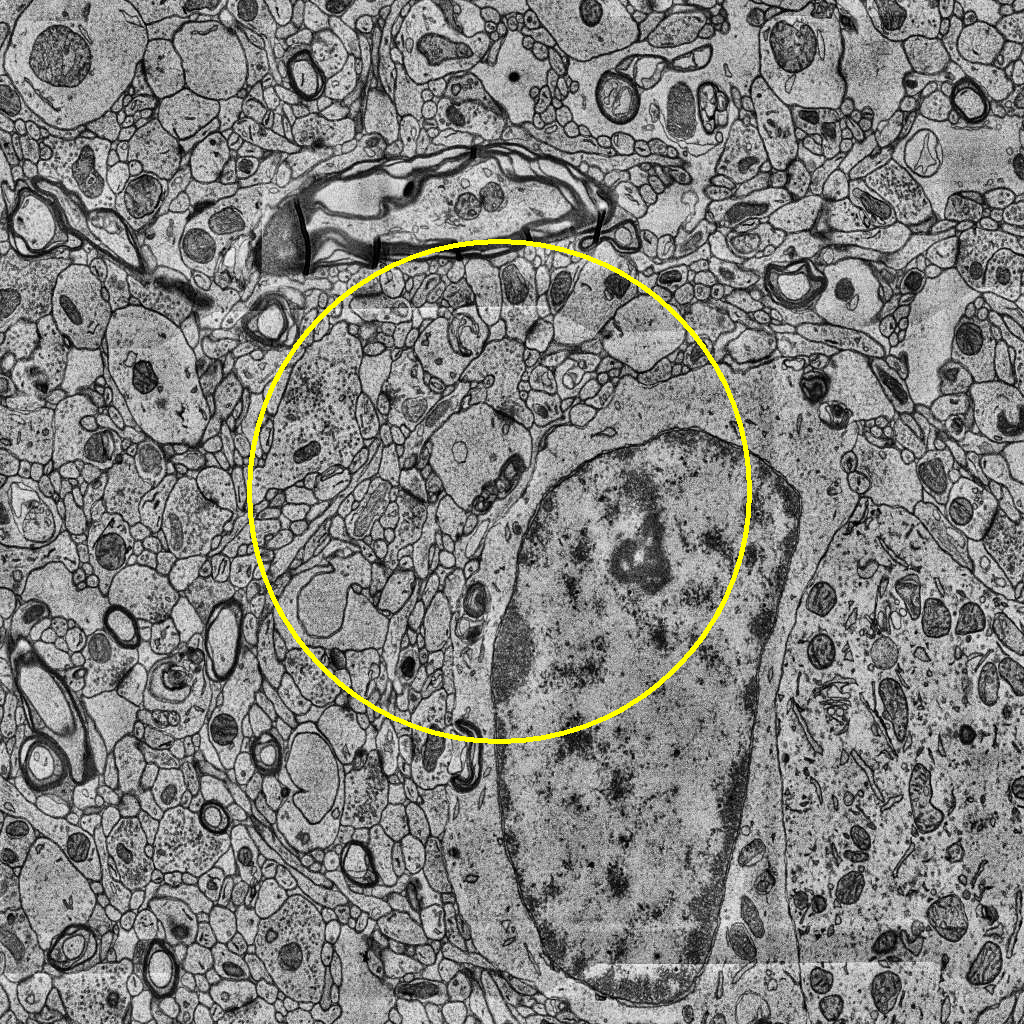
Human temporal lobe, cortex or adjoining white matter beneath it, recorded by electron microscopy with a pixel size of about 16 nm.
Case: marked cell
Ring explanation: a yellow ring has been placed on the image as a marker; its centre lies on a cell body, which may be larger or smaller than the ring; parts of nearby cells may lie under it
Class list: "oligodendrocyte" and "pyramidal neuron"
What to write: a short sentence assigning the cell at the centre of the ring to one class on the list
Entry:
The cell at the ring's centre is an oligodendrocyte.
